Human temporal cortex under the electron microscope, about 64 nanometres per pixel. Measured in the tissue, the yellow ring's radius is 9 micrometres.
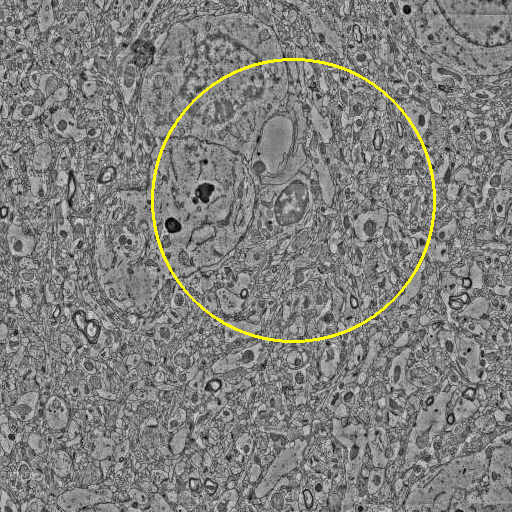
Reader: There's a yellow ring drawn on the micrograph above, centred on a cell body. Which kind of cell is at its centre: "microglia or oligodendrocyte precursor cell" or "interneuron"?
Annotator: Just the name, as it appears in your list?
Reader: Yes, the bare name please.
microglia or oligodendrocyte precursor cell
